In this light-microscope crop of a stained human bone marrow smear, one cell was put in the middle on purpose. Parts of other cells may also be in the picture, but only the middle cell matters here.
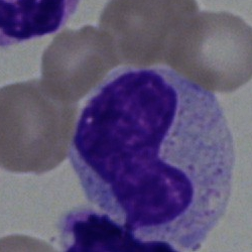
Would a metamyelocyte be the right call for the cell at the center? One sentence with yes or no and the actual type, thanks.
Yes, the cell lying in the middle is a metamyelocyte.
